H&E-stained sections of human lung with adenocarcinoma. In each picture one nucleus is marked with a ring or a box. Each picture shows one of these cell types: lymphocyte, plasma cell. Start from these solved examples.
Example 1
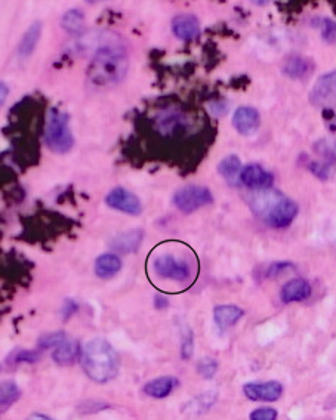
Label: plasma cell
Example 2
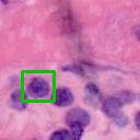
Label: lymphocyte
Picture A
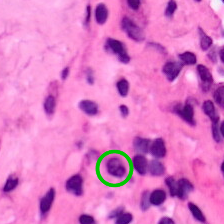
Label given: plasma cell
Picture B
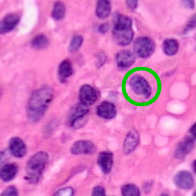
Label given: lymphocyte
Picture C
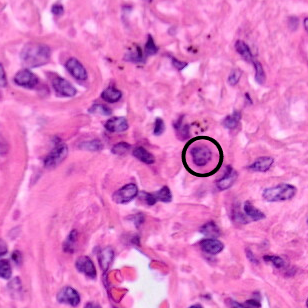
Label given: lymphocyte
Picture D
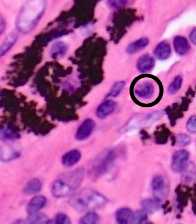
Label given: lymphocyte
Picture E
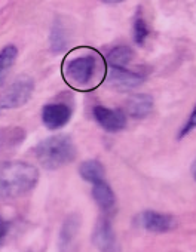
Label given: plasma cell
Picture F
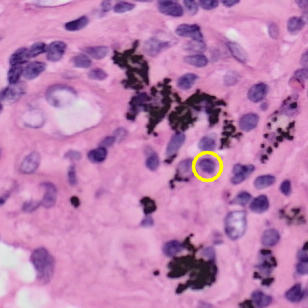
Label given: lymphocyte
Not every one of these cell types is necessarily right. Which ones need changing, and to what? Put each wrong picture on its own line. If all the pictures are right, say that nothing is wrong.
C: plasma cell, not lymphocyte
